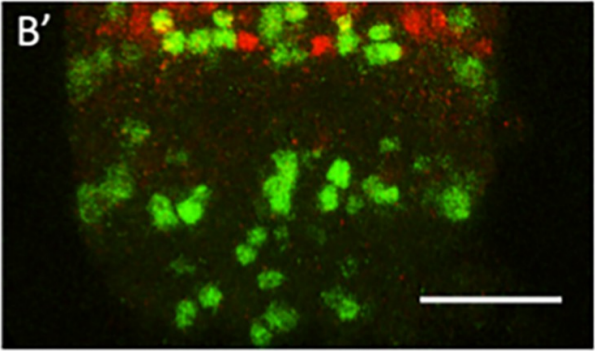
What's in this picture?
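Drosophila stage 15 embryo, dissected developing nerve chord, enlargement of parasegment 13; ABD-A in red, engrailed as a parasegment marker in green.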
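At the top of the field red nuclei lie next to a row of bright green nuclei that runs across the cord, with a few nuclei appearing yellow. Beneath this row the tissue is mostly dark with faint background speckles. In the lower part, bright green nuclei gather in clusters near the midline and in a few groups toward the sides, down to the curved tip of the cord. Red nuclei are scarce in this lower region.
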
